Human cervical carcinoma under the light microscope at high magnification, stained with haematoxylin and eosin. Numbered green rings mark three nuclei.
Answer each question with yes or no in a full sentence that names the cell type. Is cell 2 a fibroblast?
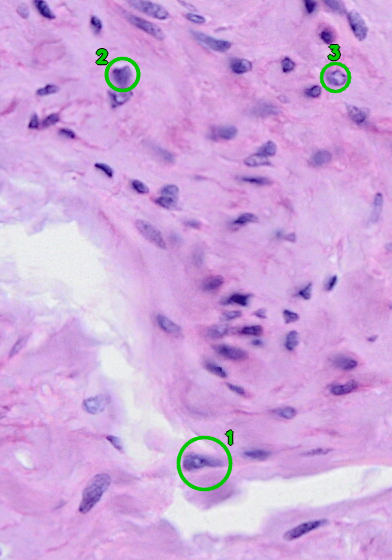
Yes, the cell labelled with number 2 is a fibroblast.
